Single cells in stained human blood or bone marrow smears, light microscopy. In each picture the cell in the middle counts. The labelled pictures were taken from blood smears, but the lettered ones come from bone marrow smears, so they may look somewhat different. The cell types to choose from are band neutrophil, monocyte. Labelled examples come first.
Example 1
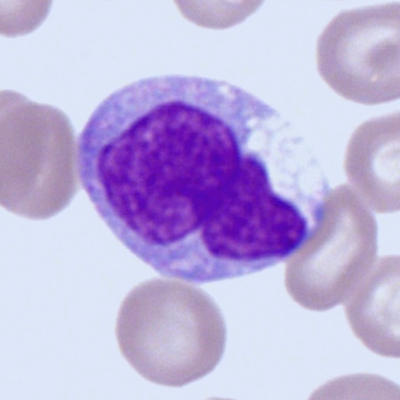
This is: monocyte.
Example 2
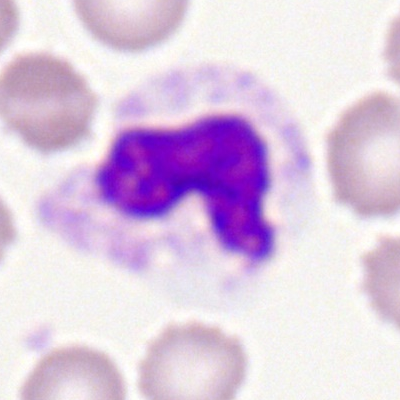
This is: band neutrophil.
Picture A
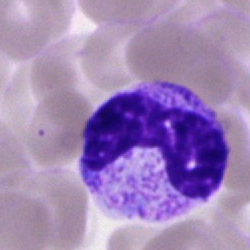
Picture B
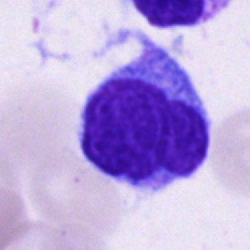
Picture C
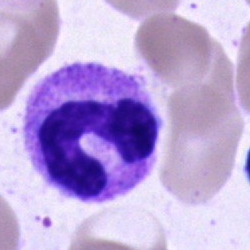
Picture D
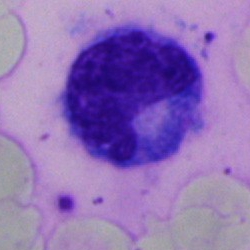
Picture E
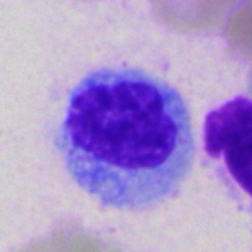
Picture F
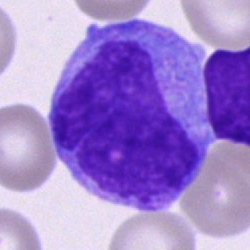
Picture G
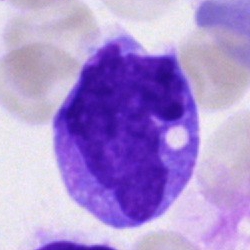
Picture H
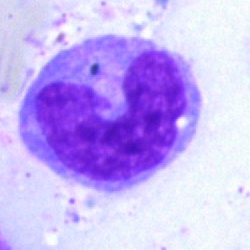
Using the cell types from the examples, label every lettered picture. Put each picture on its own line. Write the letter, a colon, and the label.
A: band neutrophil.
B: monocyte.
C: band neutrophil.
D: monocyte.
E: monocyte.
F: monocyte.
G: monocyte.
H: monocyte.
